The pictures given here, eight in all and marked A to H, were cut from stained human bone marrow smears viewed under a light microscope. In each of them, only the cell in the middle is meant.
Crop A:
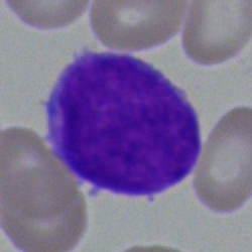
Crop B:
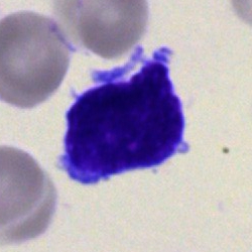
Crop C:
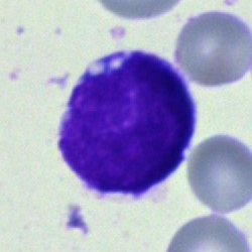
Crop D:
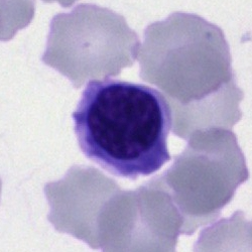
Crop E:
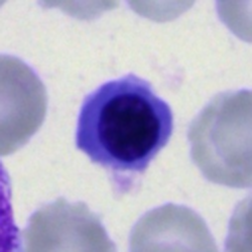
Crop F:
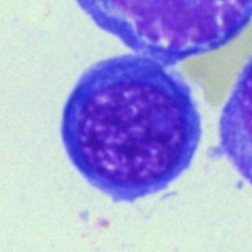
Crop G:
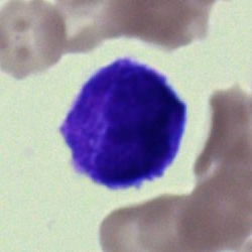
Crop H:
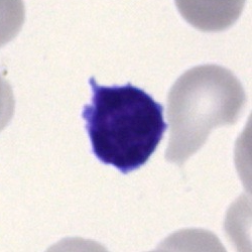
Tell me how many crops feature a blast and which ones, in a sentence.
Under the heading of blasts fall four crops, A, B, C and G.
